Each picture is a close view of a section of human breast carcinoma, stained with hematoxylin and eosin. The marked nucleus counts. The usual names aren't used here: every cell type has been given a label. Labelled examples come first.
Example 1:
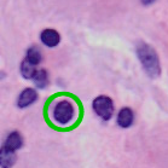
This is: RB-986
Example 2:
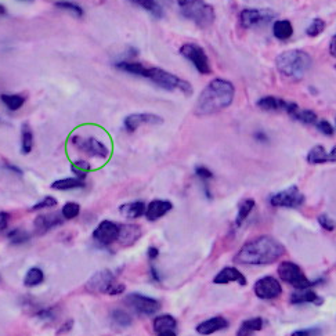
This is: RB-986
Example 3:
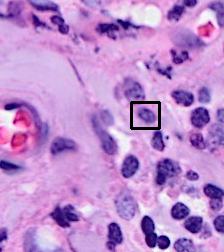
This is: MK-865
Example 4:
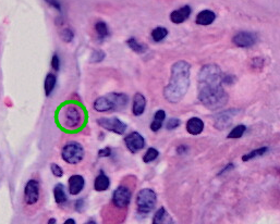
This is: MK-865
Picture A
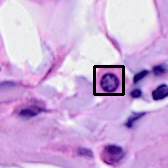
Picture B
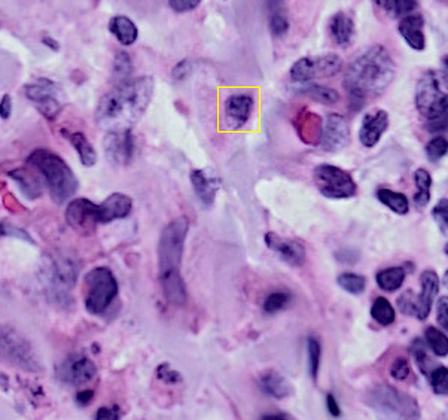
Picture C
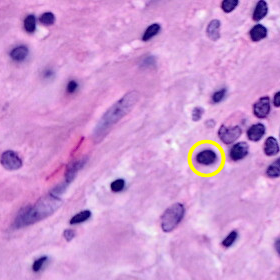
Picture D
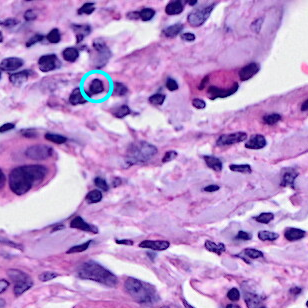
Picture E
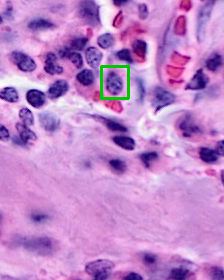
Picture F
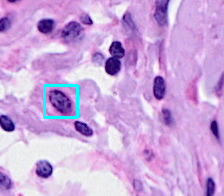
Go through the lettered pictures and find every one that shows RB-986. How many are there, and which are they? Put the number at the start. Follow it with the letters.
Count: 2 (C, D)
